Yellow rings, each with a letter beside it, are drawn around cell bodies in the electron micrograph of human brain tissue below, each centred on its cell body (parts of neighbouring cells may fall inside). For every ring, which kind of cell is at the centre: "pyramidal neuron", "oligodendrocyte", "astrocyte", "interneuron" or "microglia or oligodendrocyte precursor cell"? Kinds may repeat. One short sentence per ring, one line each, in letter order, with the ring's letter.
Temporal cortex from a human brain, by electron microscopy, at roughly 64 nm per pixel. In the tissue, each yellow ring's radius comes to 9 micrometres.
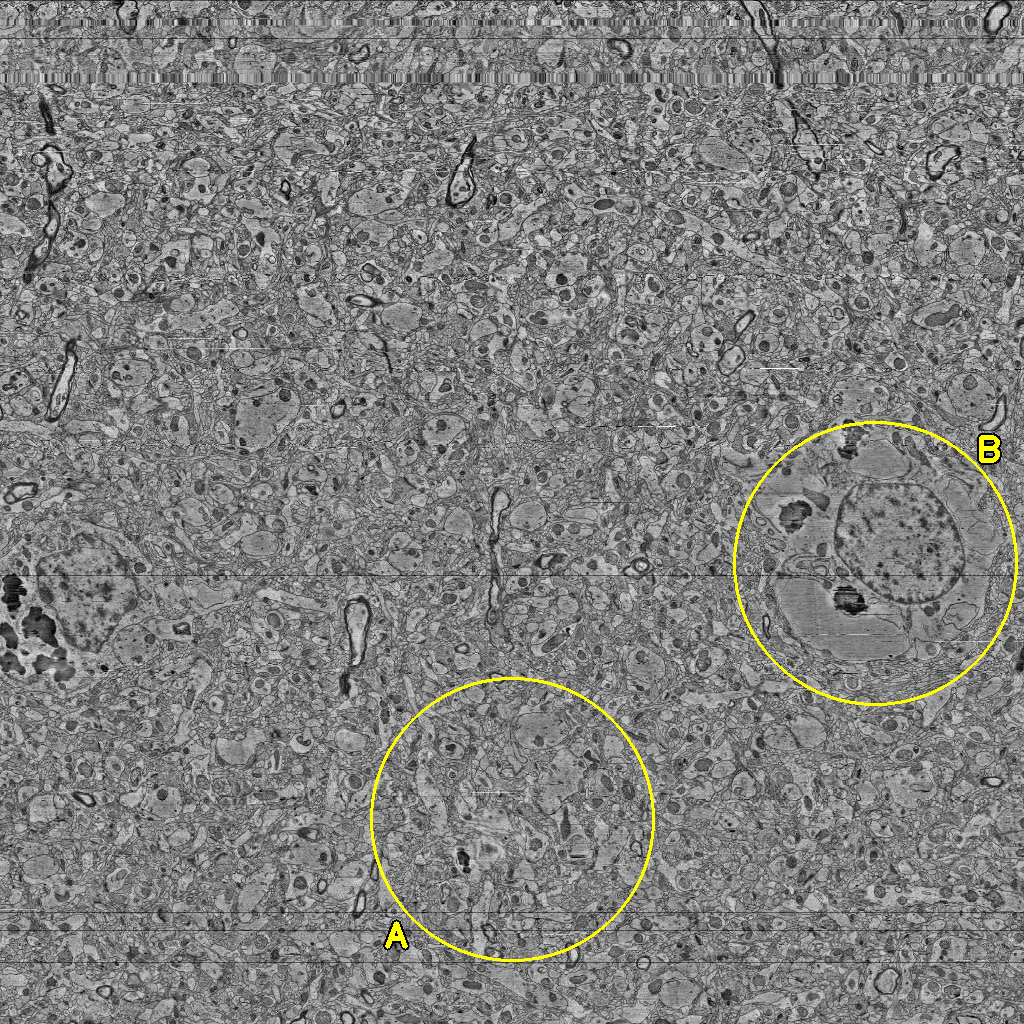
The cell in ring A is a microglial cell or oligodendrocyte precursor cell.
The cell in ring B is an astrocyte.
